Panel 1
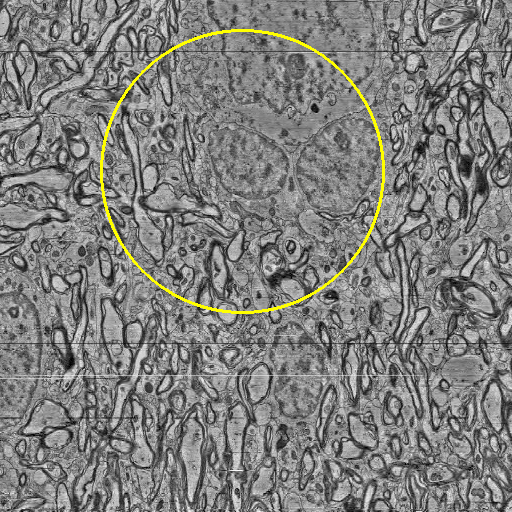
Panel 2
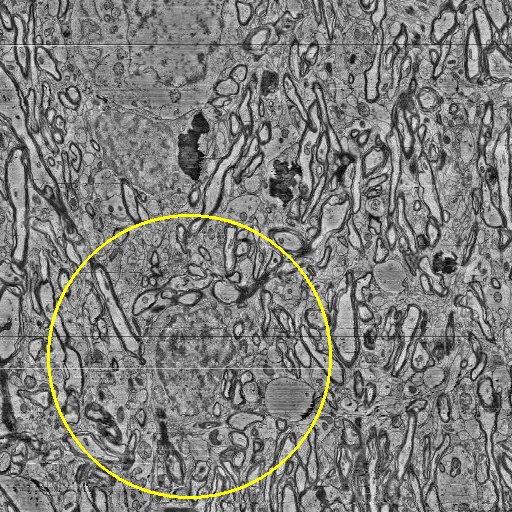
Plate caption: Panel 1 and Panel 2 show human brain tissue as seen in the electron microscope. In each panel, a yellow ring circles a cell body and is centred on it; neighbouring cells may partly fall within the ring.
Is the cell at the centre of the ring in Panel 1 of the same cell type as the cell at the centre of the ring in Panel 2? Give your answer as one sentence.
Yes, the two cells are of the same type.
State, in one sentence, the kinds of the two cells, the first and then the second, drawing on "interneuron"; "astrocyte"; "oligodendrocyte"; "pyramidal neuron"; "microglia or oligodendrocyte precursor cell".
The second cell is an oligodendrocyte, just as the first is.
